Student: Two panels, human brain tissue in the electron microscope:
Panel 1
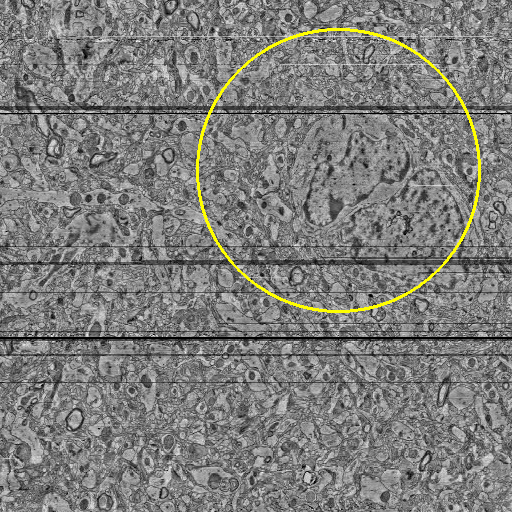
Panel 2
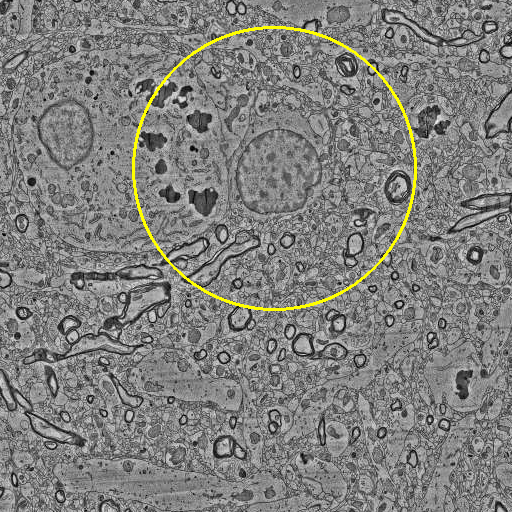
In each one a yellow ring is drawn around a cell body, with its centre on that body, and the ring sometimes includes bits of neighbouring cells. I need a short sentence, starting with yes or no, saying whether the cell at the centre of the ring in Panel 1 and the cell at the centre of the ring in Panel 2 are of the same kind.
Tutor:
No, they are two kinds of cell.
